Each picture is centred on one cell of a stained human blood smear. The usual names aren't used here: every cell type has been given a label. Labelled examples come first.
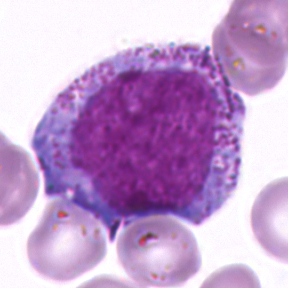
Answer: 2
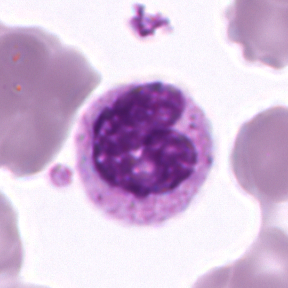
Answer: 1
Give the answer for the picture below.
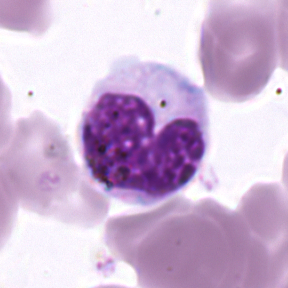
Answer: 1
